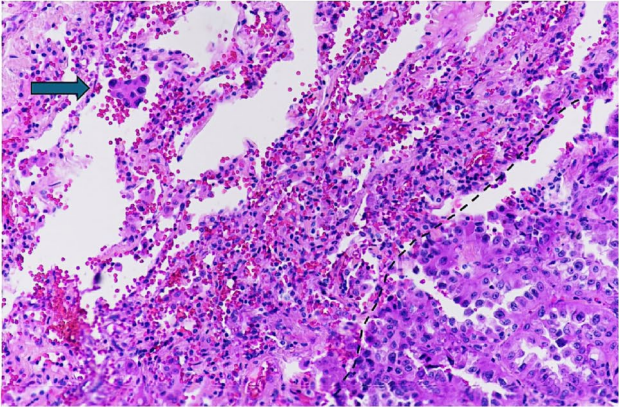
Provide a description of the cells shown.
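Lung tissue at the edge of an adenocarcinoma, stained pink and purple. In the lower right, tumor cells lie crowded together; they have large round to oval nuclei with visible nucleoli and moderate pink cytoplasm, arranged in sheets and gland-like groups. Within one of these air spaces lies a small, free cluster of larger cells with purple nuclei and pink cytoplasm, detached from the main tumor mass.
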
